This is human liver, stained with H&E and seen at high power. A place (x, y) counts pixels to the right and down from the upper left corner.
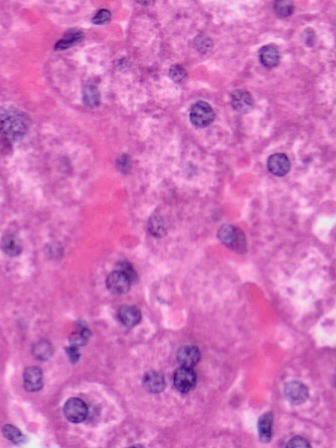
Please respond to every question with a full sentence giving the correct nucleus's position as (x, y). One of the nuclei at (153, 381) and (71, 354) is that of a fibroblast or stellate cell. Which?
Heads up, the nucleus at (71, 354) is the one that belongs to a fibroblast or stellate cell.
